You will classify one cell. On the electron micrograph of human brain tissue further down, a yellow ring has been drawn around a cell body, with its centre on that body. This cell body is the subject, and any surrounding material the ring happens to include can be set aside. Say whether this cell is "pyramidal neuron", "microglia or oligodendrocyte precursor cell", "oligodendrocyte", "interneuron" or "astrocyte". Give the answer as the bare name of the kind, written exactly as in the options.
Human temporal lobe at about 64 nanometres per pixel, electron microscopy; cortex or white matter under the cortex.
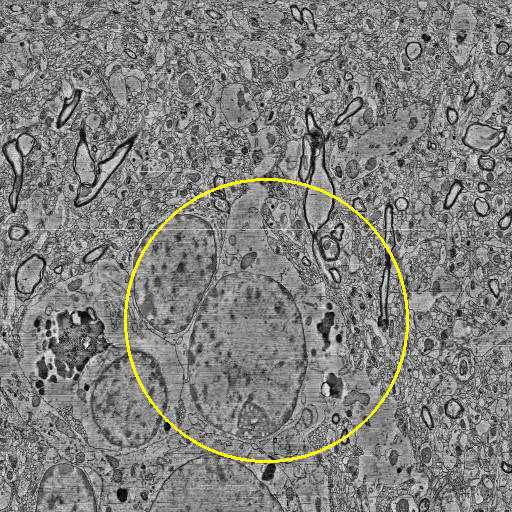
astrocyte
